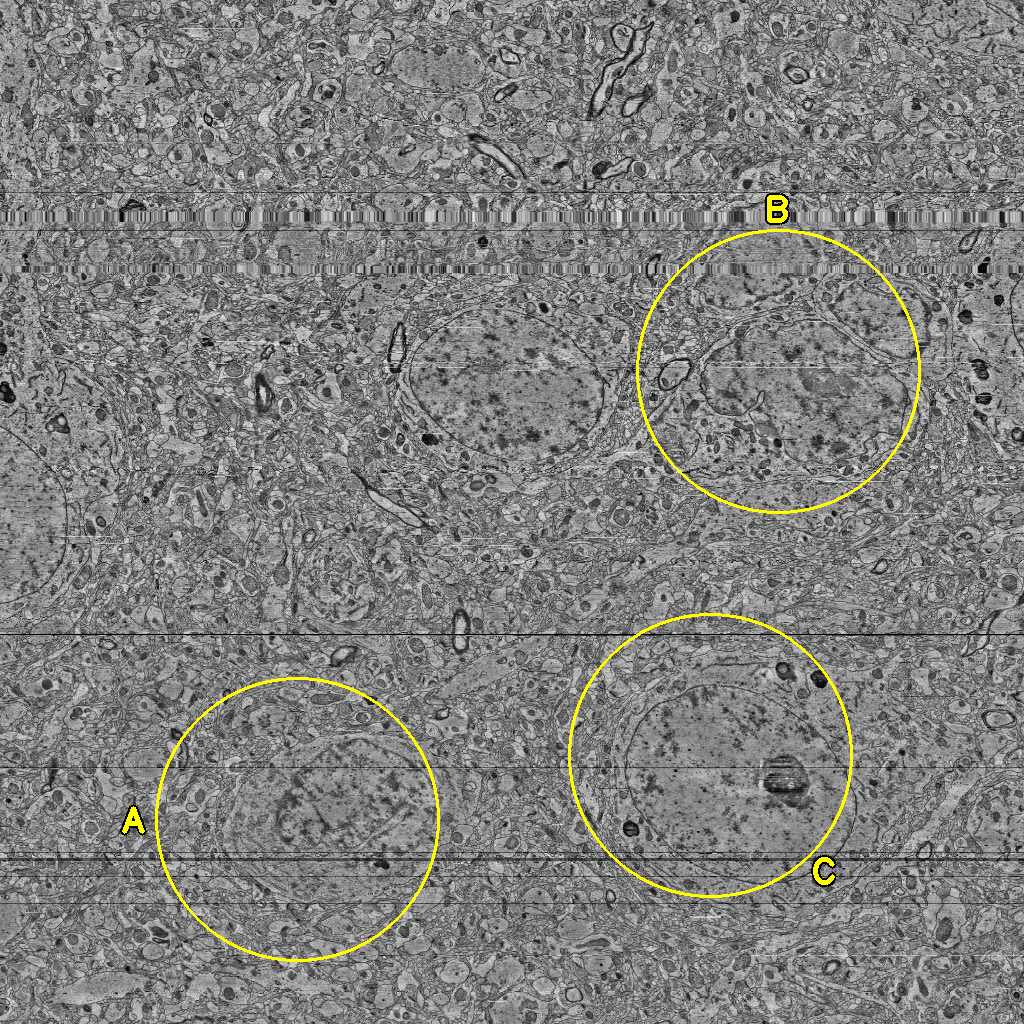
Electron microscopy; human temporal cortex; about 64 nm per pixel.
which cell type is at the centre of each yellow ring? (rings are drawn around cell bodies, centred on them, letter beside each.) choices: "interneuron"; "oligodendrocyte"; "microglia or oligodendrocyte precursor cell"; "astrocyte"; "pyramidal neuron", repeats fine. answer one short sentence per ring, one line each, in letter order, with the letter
Ring A is an interneuron.
Ring B is an interneuron.
Ring C is a pyramidal neuron.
